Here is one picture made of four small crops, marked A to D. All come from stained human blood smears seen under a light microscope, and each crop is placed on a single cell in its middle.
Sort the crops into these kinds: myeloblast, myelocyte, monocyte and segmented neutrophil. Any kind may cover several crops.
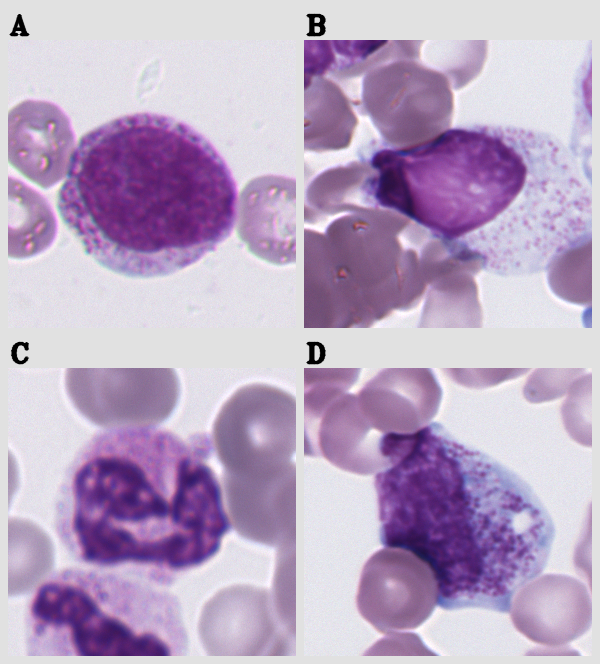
A: myelocyte
B: myelocyte
C: segmented neutrophil
D: myelocyte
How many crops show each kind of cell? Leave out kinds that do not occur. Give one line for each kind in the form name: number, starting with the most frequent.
myelocyte: 3
segmented neutrophil: 1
